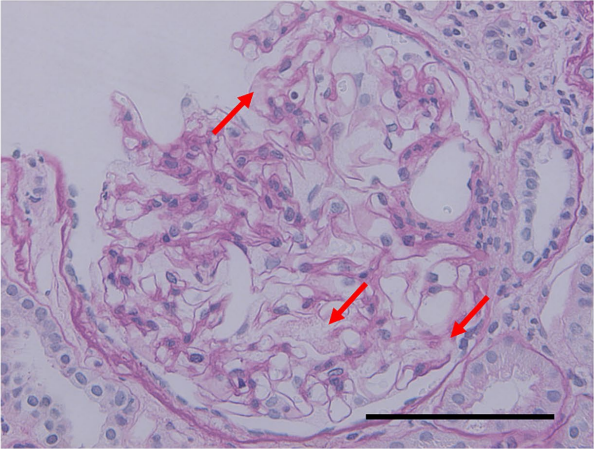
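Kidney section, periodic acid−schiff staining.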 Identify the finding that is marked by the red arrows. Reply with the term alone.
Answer: foamy podocytes with many vacuolations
